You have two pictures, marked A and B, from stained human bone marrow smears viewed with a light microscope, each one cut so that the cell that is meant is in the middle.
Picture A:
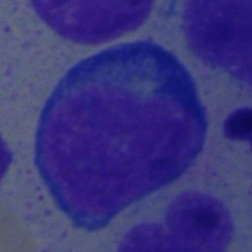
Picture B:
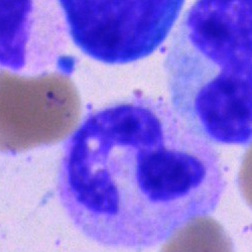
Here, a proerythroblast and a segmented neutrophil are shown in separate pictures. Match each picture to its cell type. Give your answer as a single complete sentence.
In picture A the cell is a proerythroblast; in picture B, a segmented neutrophil.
